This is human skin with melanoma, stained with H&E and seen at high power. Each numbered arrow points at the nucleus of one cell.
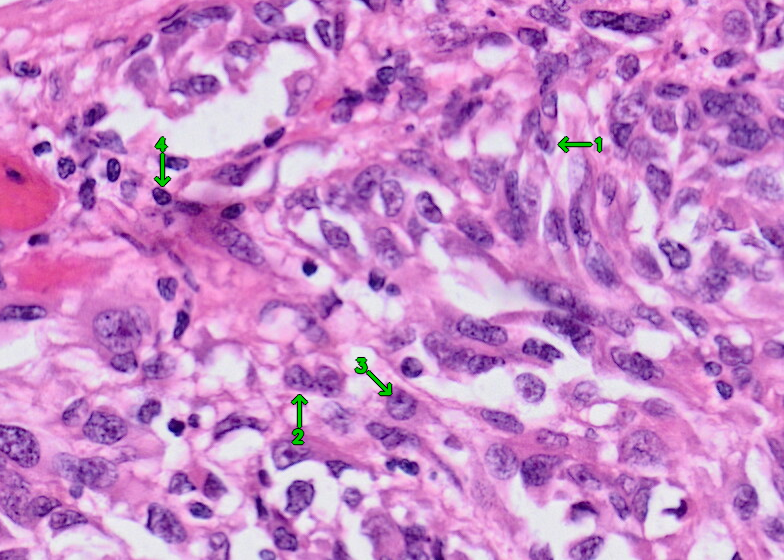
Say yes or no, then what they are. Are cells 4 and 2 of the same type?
No, cell 4 is a lymphocyte and cell 2 is a melanoma cell.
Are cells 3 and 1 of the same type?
Yes, both are melanoma cells.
